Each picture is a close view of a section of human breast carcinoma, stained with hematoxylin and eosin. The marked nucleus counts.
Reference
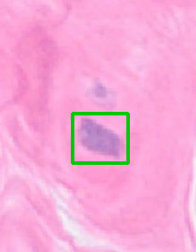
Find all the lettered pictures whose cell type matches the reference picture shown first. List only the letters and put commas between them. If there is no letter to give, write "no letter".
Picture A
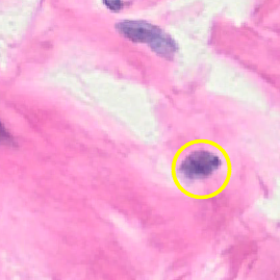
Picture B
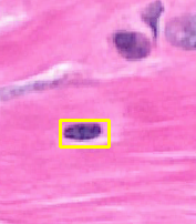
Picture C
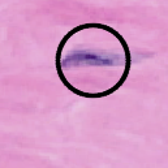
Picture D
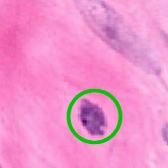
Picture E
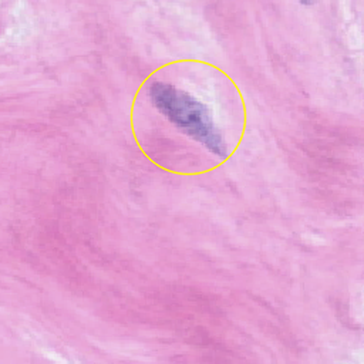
A, C, E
